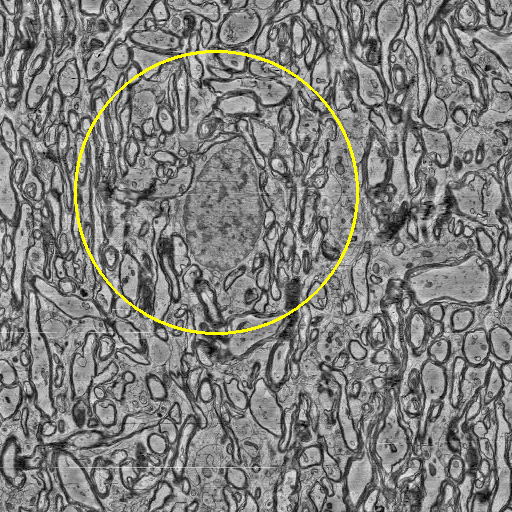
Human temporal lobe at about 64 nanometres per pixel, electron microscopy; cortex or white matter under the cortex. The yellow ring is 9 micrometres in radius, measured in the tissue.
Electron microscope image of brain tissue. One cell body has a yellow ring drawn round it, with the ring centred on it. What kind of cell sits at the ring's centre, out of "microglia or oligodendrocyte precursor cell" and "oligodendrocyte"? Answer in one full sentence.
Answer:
It is an oligodendrocyte whose cell body sits at the centre of the yellow ring.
